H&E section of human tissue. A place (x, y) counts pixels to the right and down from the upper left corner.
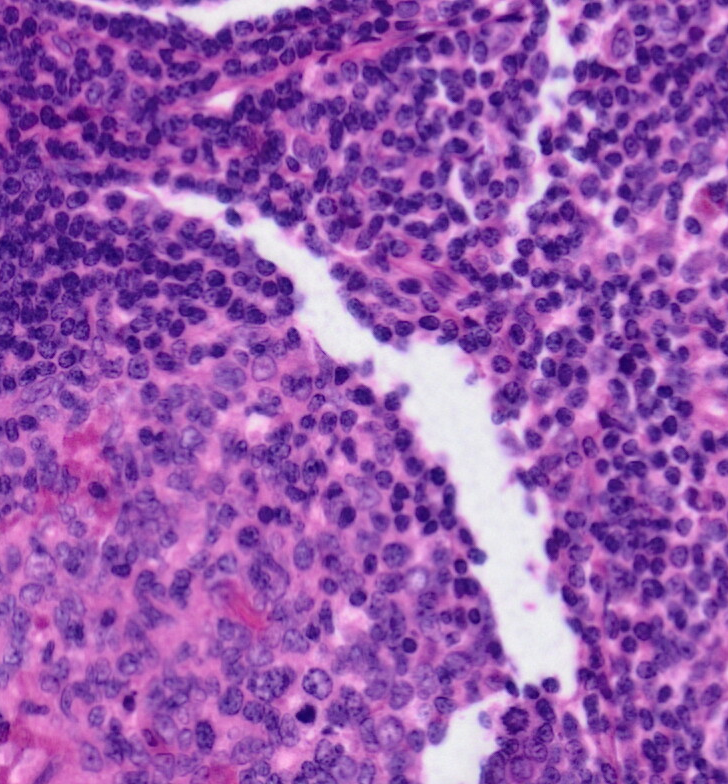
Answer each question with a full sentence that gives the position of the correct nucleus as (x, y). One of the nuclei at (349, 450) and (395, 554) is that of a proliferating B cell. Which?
The nucleus whose cell is a proliferating B cell is the one at (395, 554).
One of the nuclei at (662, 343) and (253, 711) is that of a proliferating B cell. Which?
The one belonging to a proliferating B cell is the nucleus at (253, 711), not the other.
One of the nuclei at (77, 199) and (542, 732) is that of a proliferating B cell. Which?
The one at (542, 732) is the nucleus belonging to a proliferating B cell, not the other one.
